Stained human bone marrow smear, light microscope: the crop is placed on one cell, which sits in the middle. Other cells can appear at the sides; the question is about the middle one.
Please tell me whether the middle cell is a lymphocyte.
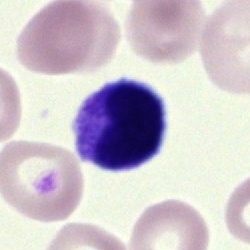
yes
